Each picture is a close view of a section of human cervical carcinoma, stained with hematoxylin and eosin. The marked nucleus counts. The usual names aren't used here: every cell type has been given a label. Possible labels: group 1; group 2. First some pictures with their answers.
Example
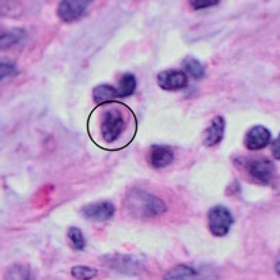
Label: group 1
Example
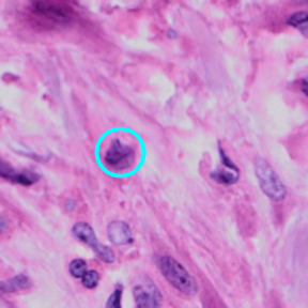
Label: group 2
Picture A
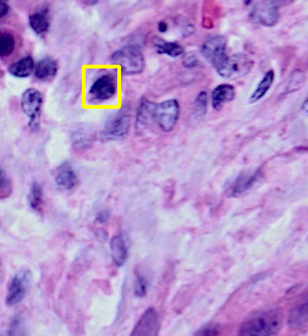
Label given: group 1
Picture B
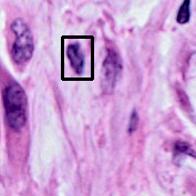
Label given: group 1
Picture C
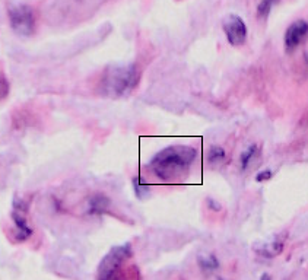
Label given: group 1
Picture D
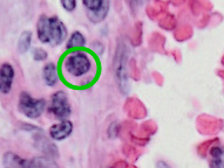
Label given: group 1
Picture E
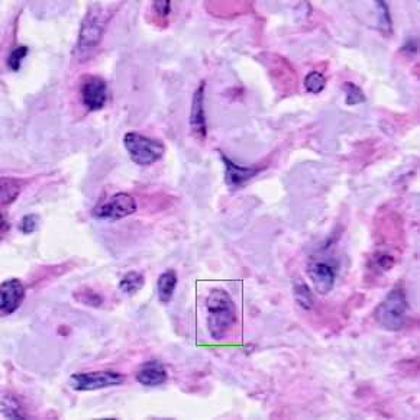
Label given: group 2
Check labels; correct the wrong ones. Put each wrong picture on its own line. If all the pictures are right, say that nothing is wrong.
C: not group 1 but group 2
